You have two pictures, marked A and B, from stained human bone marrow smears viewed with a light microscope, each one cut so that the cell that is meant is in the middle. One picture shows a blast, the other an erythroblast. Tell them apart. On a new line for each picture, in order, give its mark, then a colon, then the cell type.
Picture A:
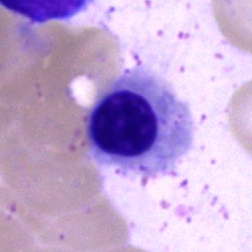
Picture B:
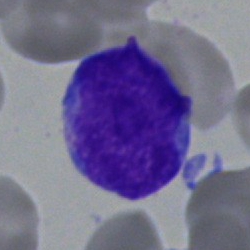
A: erythroblast
B: blast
